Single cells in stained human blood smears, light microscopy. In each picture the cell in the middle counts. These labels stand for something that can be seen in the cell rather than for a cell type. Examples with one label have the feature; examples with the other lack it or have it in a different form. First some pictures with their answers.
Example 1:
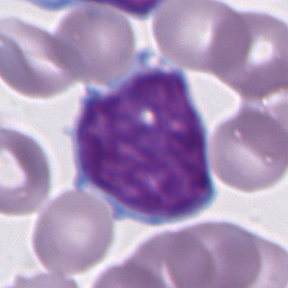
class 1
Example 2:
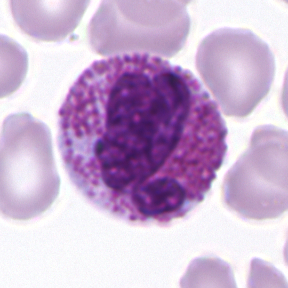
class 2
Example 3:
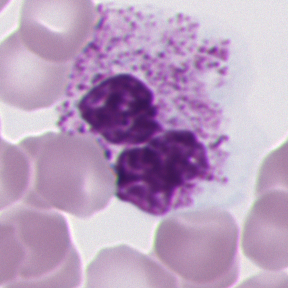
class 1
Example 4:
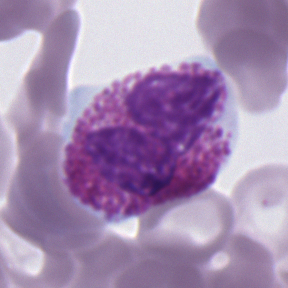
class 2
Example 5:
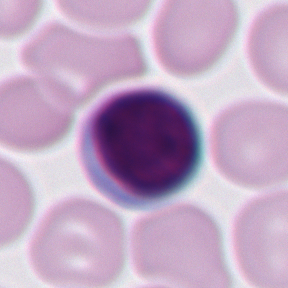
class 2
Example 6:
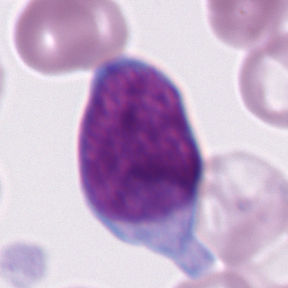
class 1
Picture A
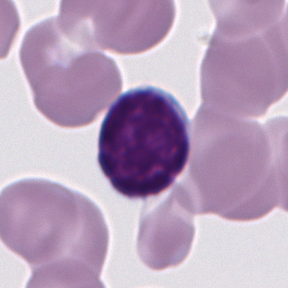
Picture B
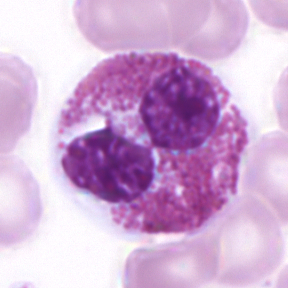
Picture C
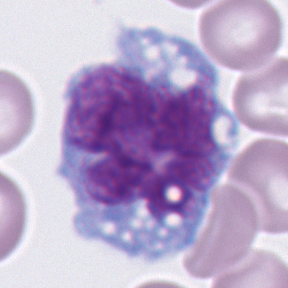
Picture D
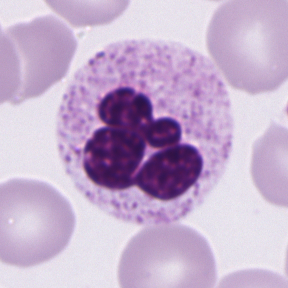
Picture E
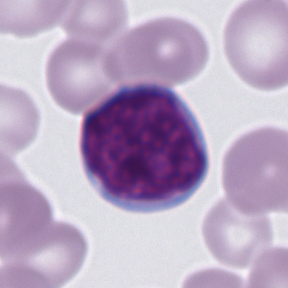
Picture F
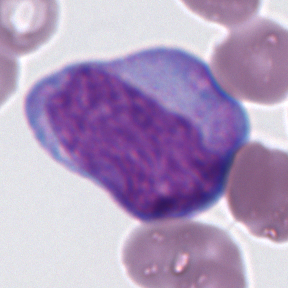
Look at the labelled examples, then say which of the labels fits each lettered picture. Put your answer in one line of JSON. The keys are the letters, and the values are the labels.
{"A": "class 2", "B": "class 2", "C": "class 1", "D": "class 2", "E": "class 2", "F": "class 2"}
